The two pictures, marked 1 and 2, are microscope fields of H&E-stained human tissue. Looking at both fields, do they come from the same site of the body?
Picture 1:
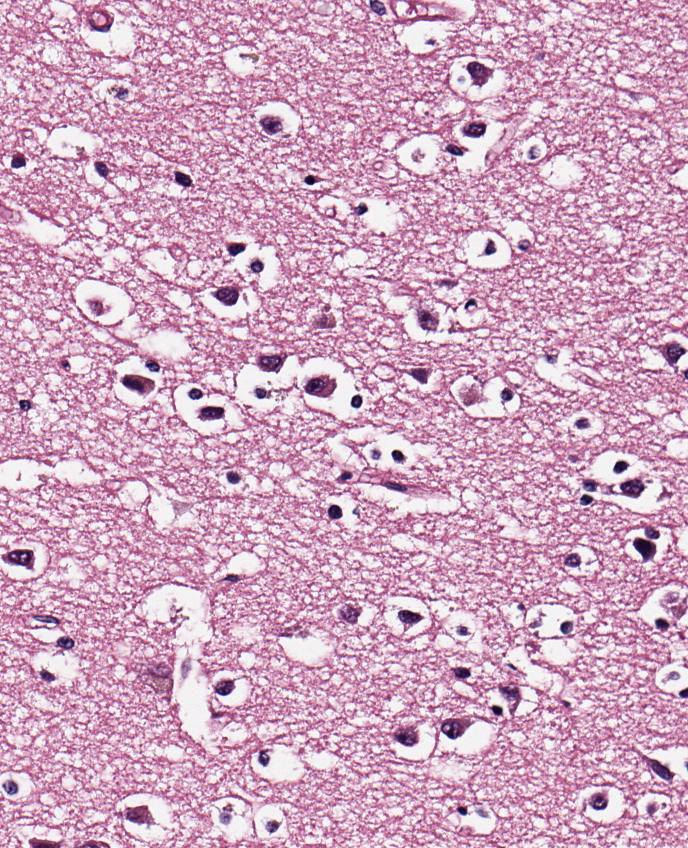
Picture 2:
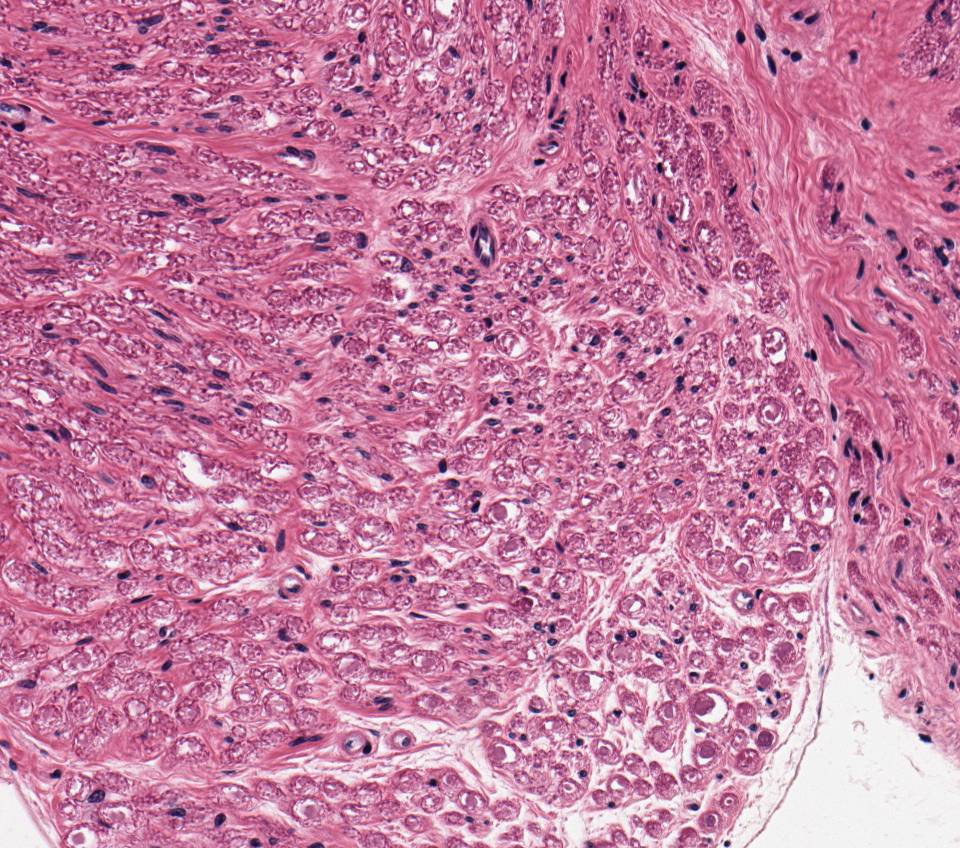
no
